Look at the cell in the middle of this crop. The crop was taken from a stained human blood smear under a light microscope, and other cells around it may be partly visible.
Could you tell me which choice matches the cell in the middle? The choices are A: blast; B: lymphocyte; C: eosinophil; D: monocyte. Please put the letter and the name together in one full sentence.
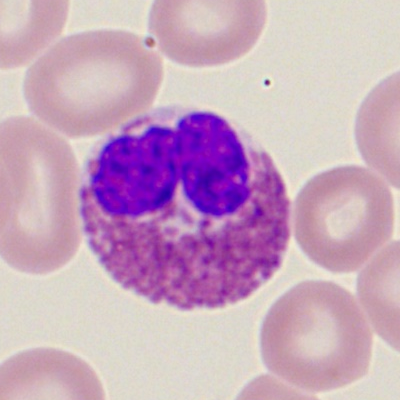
The cell at the centre, correctly named in option C, is an eosinophil.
